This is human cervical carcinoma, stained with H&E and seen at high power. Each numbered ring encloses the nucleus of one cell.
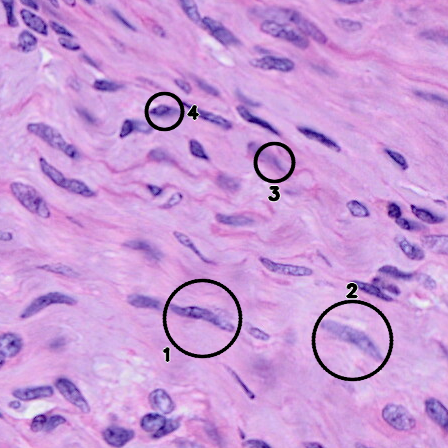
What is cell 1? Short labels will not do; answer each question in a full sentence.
Denoted by the label 1 in the section is a fibroblast.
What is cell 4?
The nucleus with number 4 is that of a fibroblast.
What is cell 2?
The cell marked with the number 2 is a fibroblast.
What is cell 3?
The correct label for cell 3 is a smooth muscle cell.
